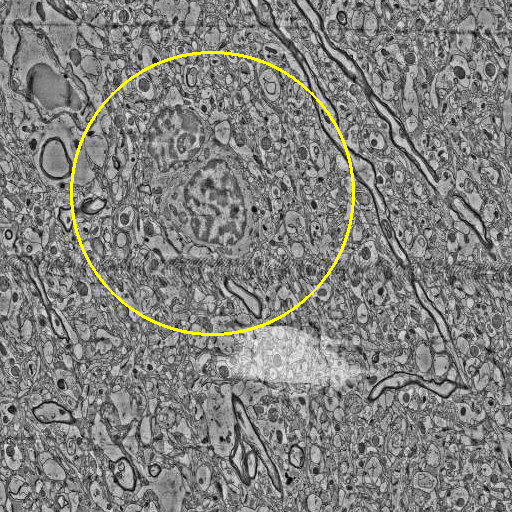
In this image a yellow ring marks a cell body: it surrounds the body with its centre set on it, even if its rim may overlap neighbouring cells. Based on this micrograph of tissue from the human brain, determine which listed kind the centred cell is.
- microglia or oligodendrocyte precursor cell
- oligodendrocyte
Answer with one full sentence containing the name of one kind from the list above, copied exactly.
It is an oligodendrocyte whose body the yellow ring encloses at its centre.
